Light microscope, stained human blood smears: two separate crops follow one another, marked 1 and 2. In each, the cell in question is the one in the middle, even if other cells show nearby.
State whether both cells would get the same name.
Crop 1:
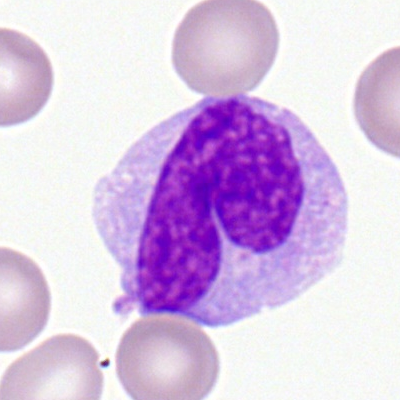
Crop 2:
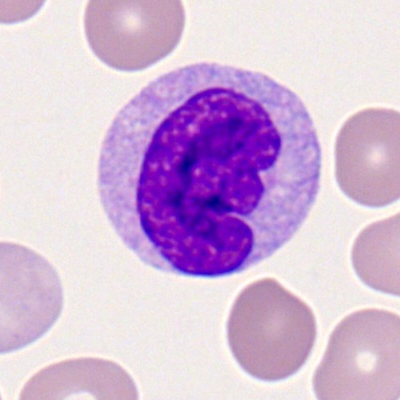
yes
